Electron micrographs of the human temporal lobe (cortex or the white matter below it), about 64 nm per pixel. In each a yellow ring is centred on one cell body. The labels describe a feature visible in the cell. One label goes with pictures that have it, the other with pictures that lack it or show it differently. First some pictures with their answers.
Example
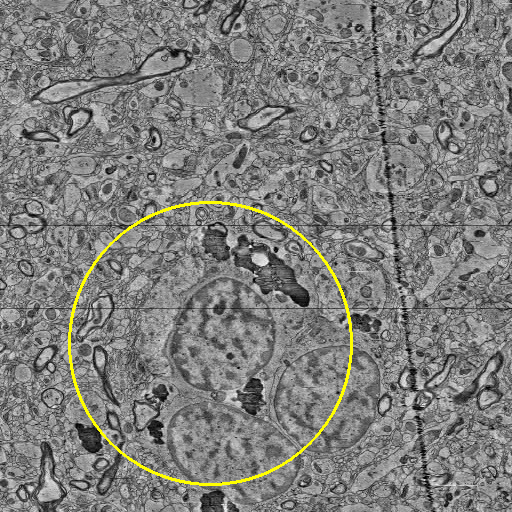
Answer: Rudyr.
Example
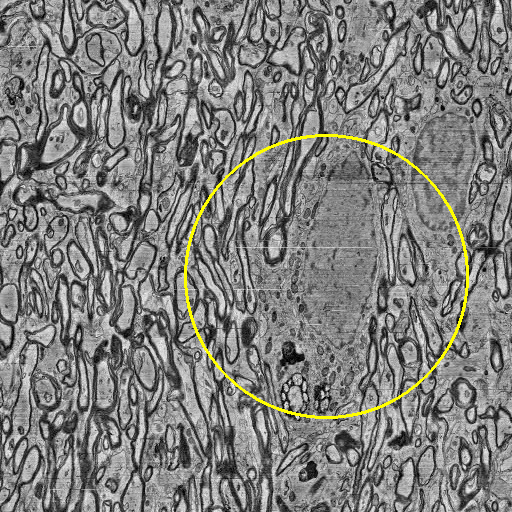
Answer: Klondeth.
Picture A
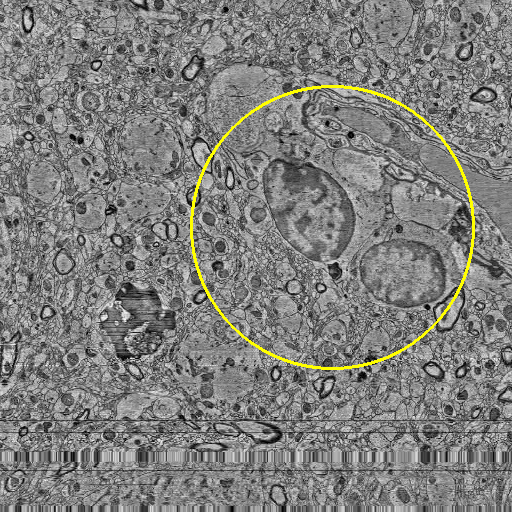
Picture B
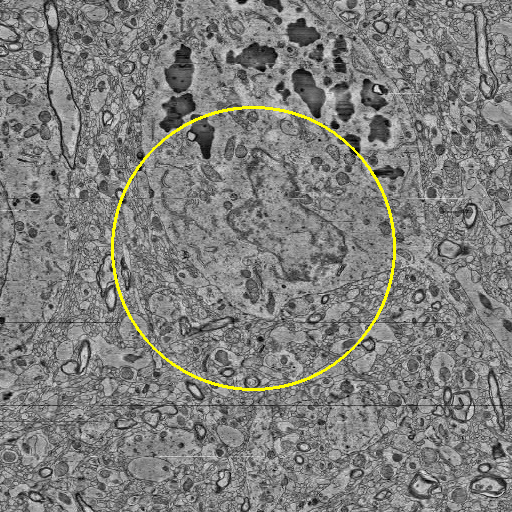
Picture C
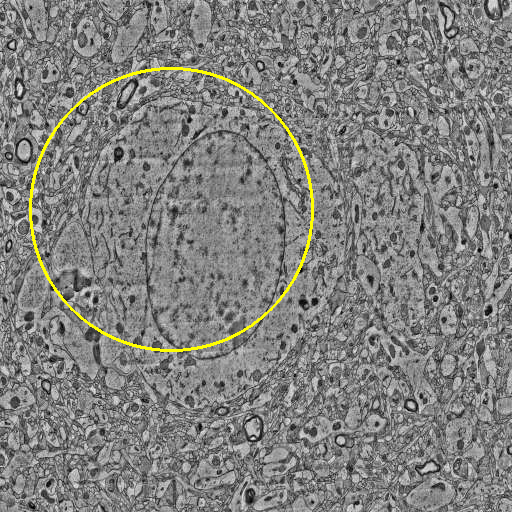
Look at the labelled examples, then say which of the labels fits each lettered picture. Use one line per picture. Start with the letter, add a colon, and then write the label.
A: Klondeth.
B: Klondeth.
C: Klondeth.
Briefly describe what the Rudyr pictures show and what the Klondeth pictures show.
Seen in Rudyr: round or nearly round nuclei; seen in Klondeth: clearly elongated nuclei.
